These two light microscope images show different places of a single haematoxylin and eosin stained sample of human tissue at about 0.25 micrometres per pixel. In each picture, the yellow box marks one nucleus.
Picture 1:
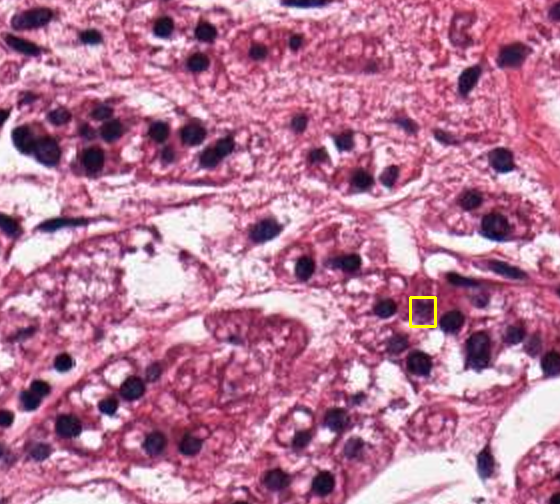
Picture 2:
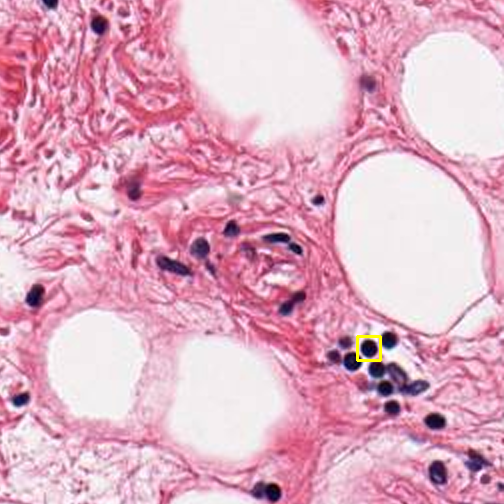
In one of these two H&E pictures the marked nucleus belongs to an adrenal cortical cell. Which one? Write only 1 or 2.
1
